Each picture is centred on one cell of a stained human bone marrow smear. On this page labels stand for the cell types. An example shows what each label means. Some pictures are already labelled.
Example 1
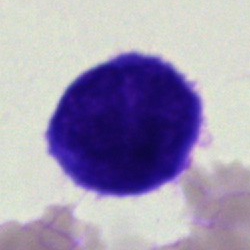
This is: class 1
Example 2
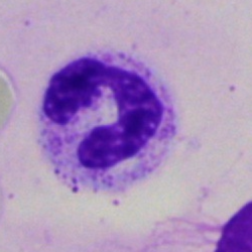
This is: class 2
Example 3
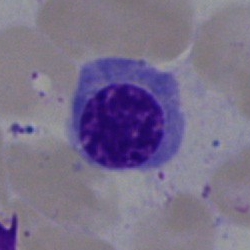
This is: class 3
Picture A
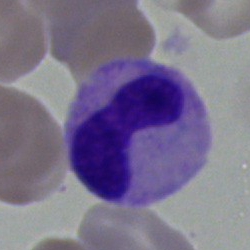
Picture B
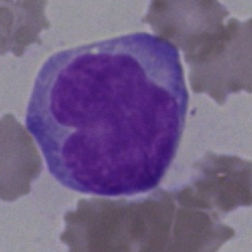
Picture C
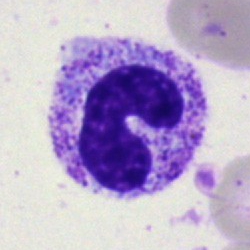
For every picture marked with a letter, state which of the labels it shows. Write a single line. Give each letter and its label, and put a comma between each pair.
A class 2, B class 1, C class 2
